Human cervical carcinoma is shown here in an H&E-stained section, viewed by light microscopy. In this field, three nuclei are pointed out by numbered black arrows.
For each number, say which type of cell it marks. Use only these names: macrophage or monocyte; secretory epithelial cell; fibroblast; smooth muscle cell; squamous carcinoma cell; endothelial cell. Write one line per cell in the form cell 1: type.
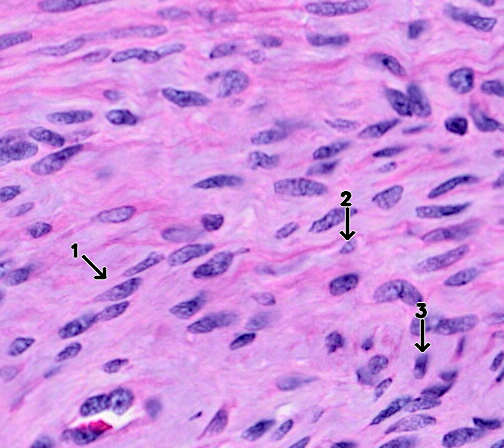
cell 1: fibroblast
cell 2: smooth muscle cell
cell 3: fibroblast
